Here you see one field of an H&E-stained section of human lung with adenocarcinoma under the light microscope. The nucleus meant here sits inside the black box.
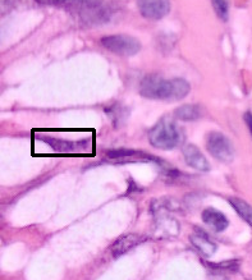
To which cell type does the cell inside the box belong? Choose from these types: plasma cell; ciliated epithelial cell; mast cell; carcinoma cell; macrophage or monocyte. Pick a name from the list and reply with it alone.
ciliated epithelial cell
